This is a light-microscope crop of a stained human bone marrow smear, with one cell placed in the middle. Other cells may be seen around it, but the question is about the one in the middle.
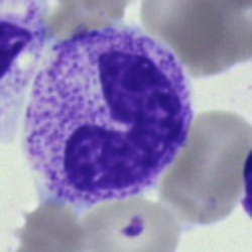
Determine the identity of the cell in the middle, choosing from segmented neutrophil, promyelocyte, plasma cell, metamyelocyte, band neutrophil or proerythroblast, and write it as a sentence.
Here the centrally located cell is a band neutrophil.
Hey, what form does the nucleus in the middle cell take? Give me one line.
Worth pointing out that its nucleus is one compact mass, round, oval or reniform.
